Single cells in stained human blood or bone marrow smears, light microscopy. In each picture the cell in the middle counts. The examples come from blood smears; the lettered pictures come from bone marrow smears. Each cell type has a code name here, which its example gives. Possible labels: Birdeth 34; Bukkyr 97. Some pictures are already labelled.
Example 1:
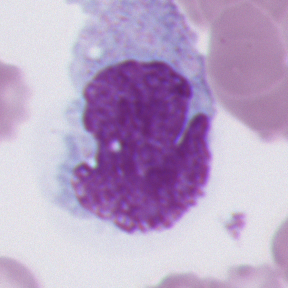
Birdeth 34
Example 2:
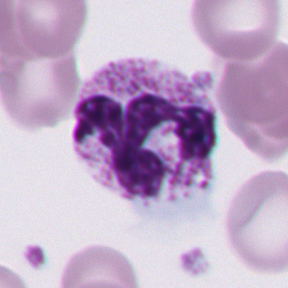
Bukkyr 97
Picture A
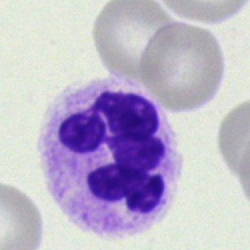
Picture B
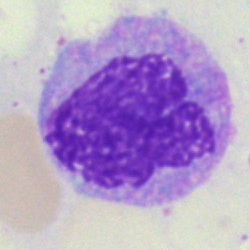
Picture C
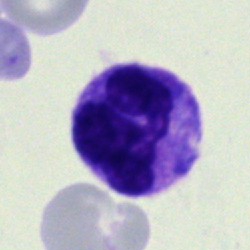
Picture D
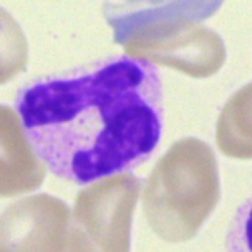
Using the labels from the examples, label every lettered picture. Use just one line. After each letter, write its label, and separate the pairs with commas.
A Bukkyr 97, B Birdeth 34, C Birdeth 34, D Bukkyr 97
